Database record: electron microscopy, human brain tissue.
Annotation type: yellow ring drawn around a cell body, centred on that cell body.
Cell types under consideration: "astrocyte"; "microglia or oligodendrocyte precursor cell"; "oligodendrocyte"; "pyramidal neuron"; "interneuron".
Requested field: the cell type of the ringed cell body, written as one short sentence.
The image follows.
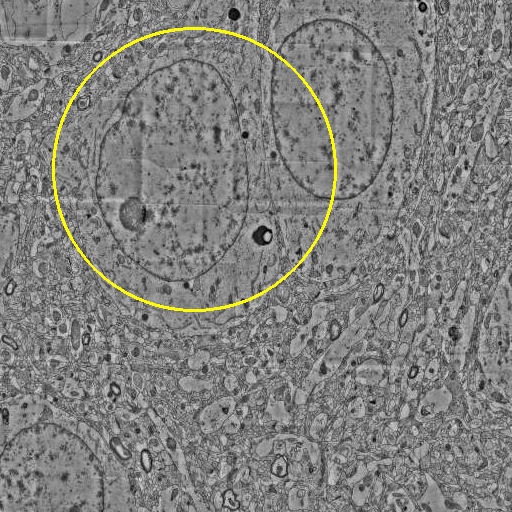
The ringed cell body represents a pyramidal neuron.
